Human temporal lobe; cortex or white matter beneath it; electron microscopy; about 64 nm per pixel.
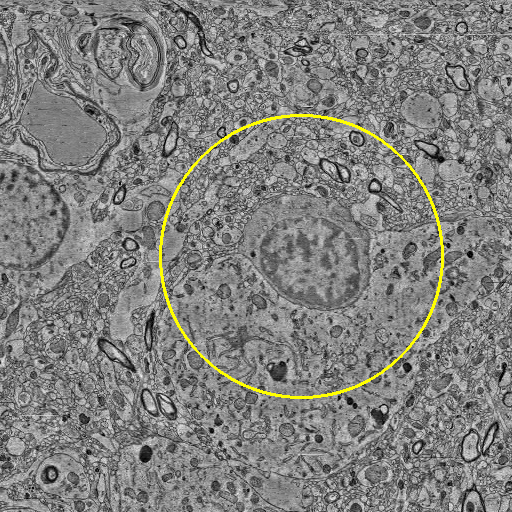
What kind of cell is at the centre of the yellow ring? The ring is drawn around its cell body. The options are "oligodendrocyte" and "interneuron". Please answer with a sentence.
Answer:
The yellow ring marks the cell body of an oligodendrocyte.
